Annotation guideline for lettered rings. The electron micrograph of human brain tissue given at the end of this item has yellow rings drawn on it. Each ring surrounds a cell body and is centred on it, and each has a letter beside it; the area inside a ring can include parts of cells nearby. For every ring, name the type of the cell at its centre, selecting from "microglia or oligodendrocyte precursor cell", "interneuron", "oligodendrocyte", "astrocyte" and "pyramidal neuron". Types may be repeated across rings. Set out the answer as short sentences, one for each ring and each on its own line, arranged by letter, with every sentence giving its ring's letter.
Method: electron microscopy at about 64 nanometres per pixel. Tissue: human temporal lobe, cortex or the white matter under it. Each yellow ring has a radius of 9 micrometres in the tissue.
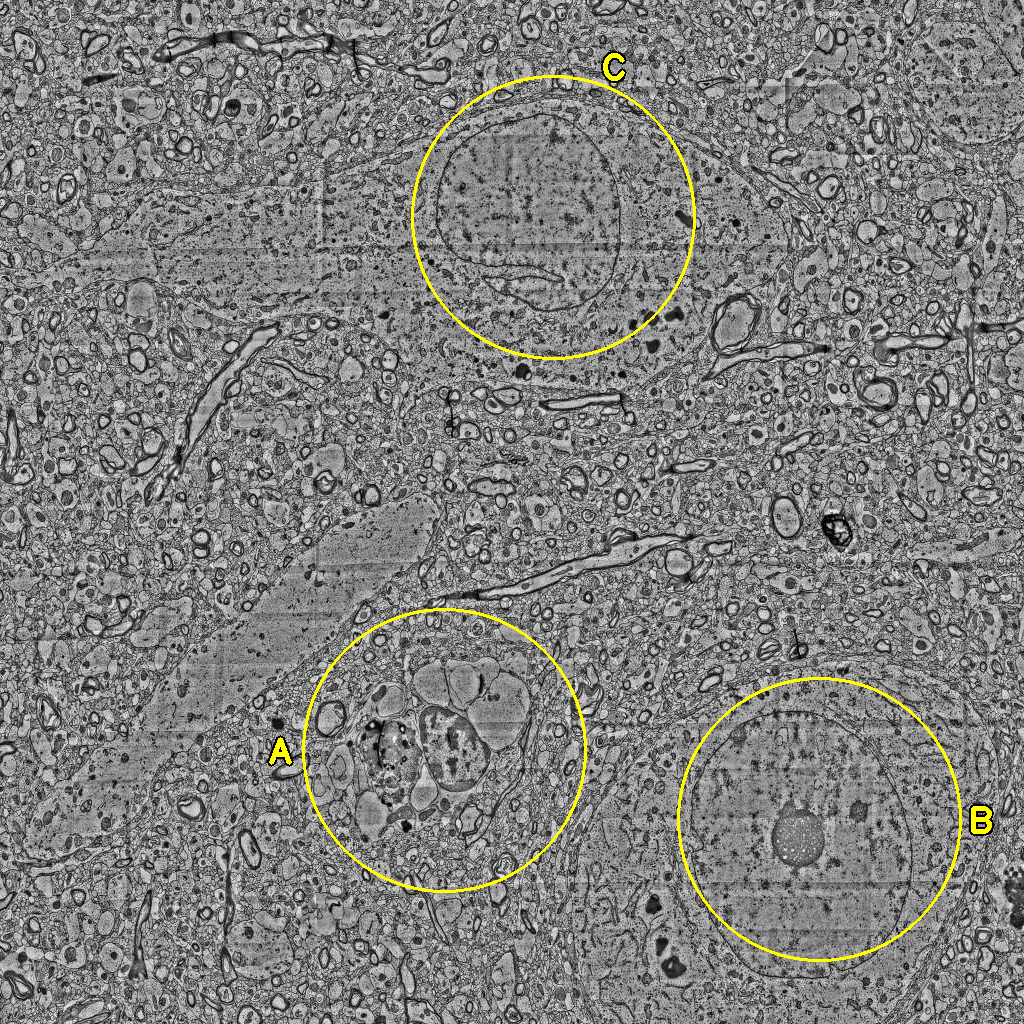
The cell centred in ring A is a microglial cell or oligodendrocyte precursor cell.
The cell centred in ring B is a pyramidal neuron.
The cell centred in ring C is a pyramidal neuron.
